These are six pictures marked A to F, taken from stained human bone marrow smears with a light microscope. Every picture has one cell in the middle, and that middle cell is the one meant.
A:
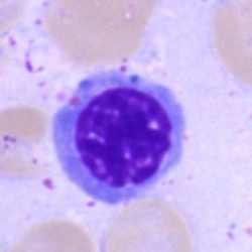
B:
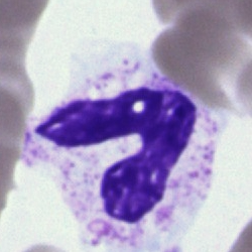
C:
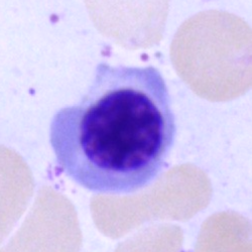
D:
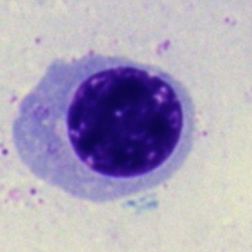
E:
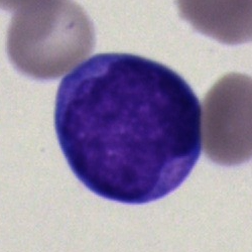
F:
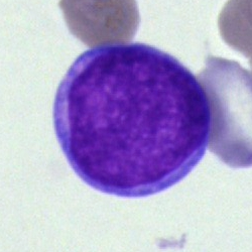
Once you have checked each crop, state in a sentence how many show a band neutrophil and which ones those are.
Just one crop holds a band neutrophil, and that crop is marked B.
